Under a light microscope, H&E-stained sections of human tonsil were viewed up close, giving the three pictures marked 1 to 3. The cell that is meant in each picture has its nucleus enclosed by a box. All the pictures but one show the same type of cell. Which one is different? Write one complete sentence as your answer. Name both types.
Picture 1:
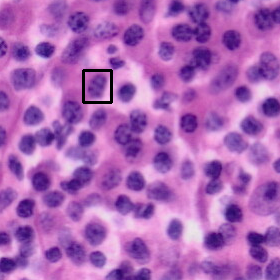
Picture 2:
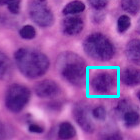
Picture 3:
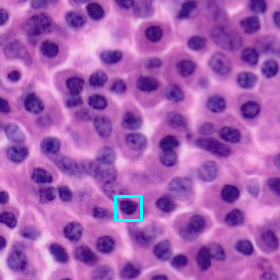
Picture 2 differs, because its cell is a squamous epithelial cell and the rest are plasma cells.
